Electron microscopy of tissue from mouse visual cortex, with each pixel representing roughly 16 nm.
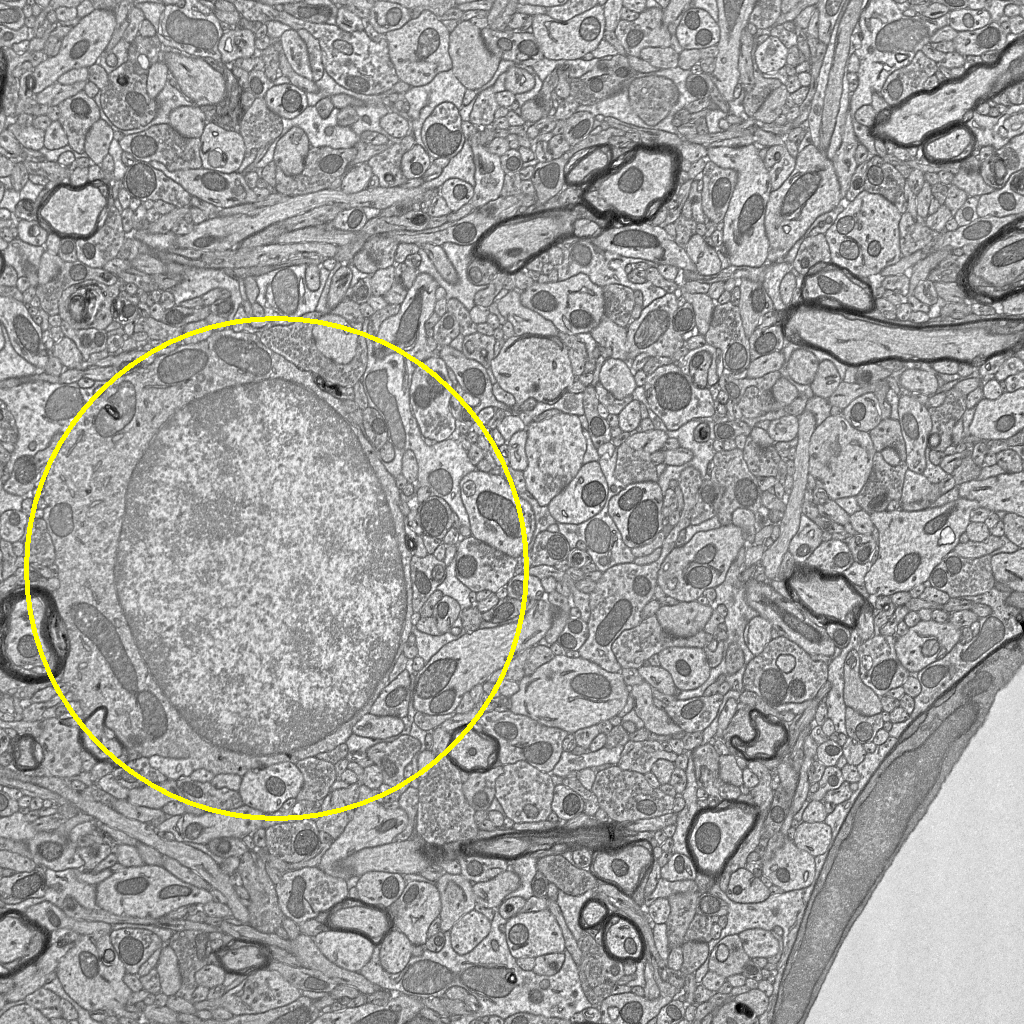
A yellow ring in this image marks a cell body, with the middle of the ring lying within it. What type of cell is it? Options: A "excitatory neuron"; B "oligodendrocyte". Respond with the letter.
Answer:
B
